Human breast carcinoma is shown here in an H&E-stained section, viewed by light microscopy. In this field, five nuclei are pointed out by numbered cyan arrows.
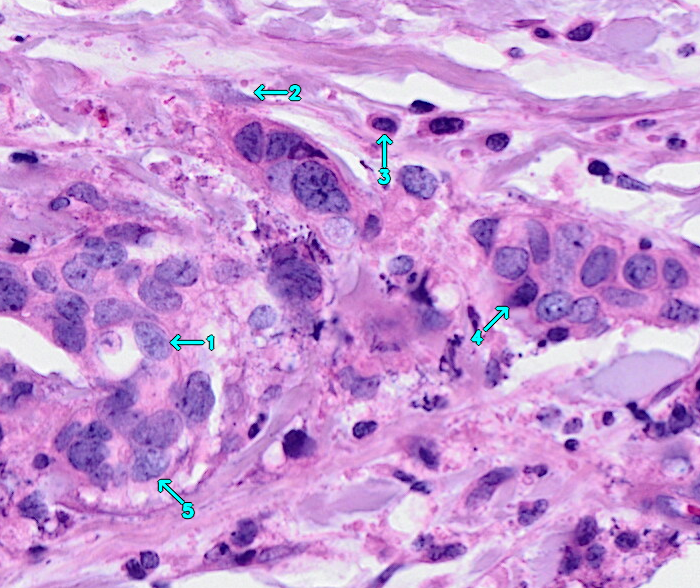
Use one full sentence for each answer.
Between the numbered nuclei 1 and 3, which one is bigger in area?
At about 4 times the area of nucleus 3, nucleus 1 is the larger of the two.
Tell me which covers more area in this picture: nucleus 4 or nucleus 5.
Number 5 is larger; its area is about 1.5 times that of number 4.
